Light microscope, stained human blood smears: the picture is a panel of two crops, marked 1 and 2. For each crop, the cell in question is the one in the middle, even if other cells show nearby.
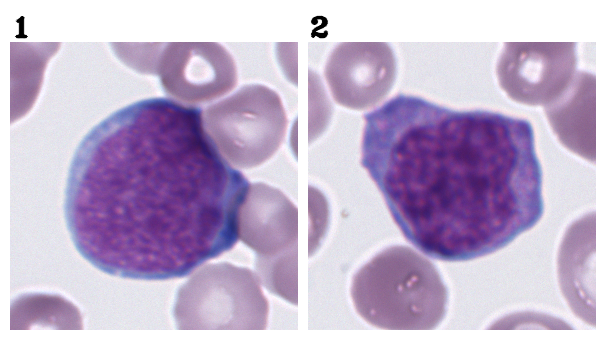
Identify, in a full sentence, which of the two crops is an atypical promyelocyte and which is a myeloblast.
In crop 1, a myeloblast is present; in crop 2, an atypical promyelocyte is present.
